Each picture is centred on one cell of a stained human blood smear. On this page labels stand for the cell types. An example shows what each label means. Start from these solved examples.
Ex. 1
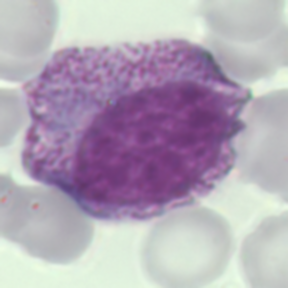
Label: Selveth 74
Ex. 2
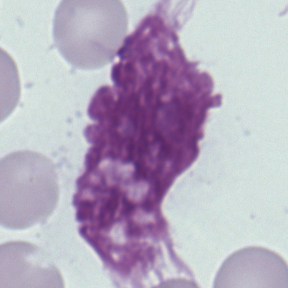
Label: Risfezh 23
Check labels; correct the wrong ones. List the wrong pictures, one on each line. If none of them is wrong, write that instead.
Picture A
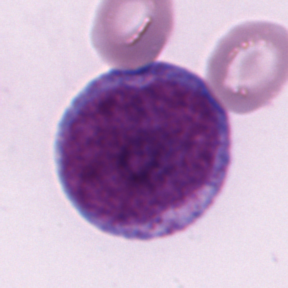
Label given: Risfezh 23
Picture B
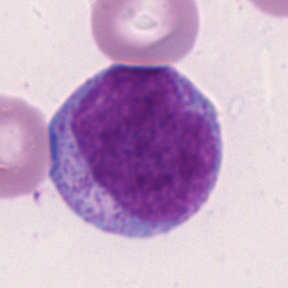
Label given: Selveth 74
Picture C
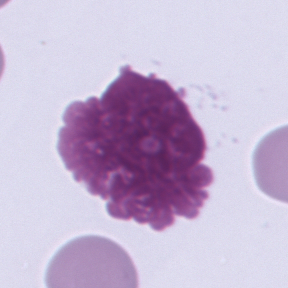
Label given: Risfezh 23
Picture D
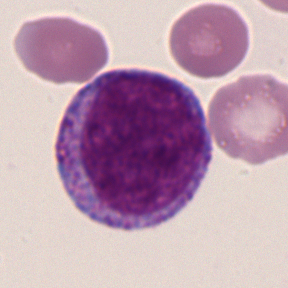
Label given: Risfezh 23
A: Selveth 74, not Risfezh 23
D: Selveth 74, not Risfezh 23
